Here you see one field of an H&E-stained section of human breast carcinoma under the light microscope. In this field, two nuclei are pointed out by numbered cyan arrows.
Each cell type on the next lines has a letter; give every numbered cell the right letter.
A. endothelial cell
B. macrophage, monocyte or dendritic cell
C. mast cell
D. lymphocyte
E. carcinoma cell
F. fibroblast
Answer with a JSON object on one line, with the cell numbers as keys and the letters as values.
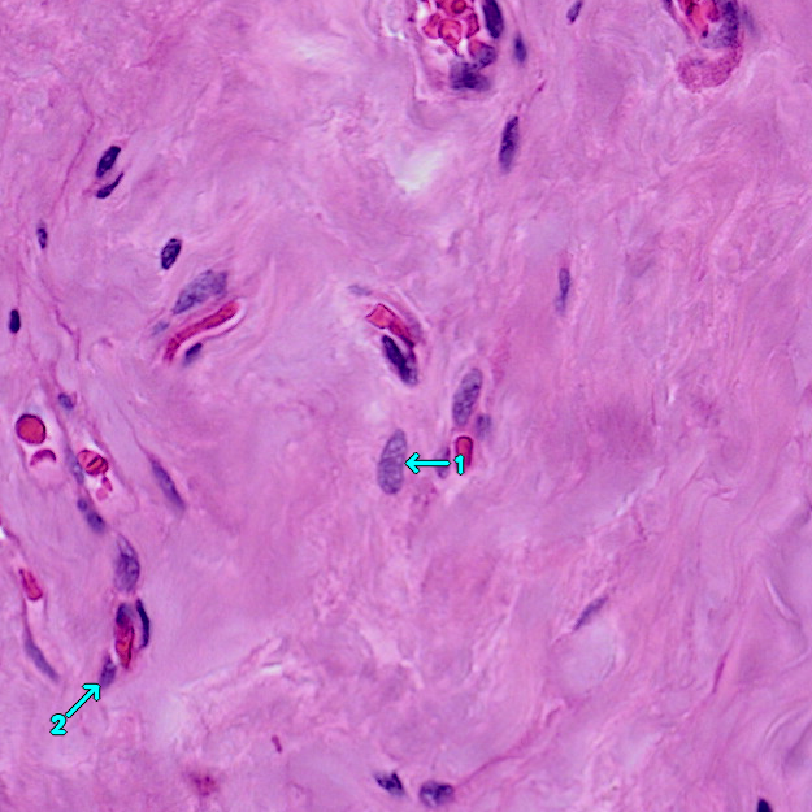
{"1": "F", "2": "A"}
